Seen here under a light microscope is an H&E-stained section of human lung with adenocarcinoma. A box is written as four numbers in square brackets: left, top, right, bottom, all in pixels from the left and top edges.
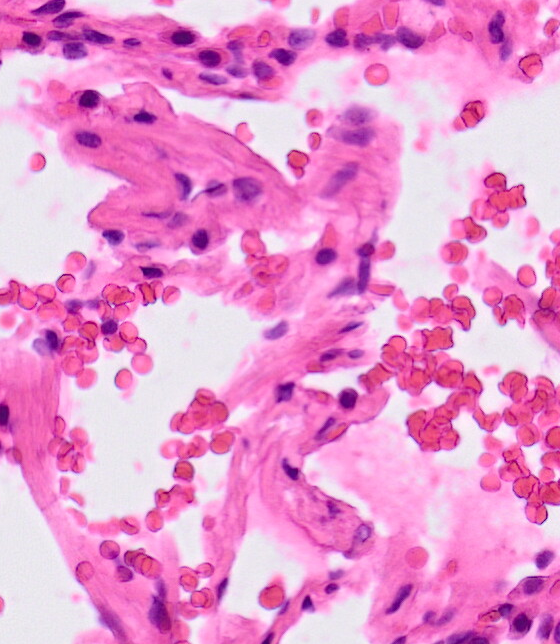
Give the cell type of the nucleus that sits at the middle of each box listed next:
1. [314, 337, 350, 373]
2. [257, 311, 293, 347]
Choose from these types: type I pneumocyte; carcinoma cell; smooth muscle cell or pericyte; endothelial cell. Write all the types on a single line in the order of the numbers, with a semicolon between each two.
endothelial cell; type I pneumocyte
